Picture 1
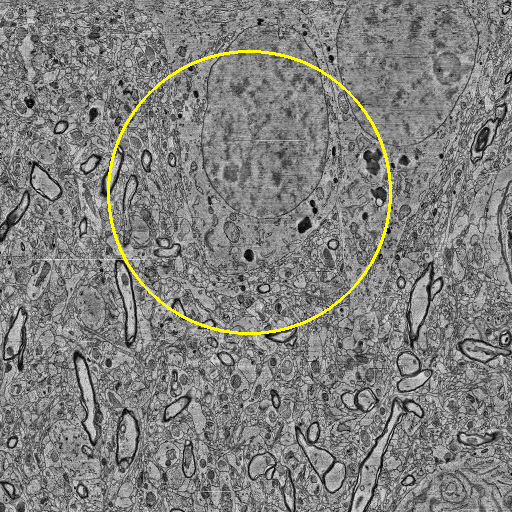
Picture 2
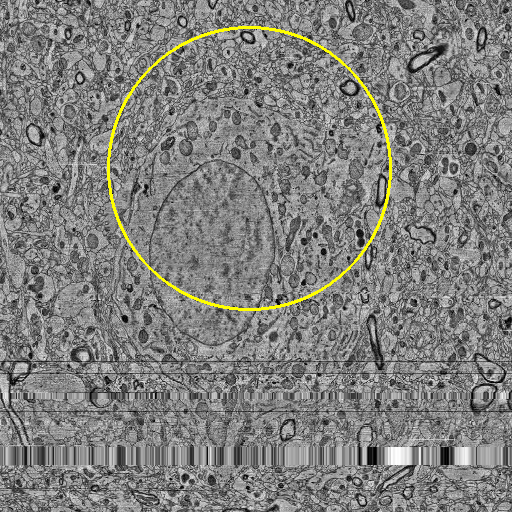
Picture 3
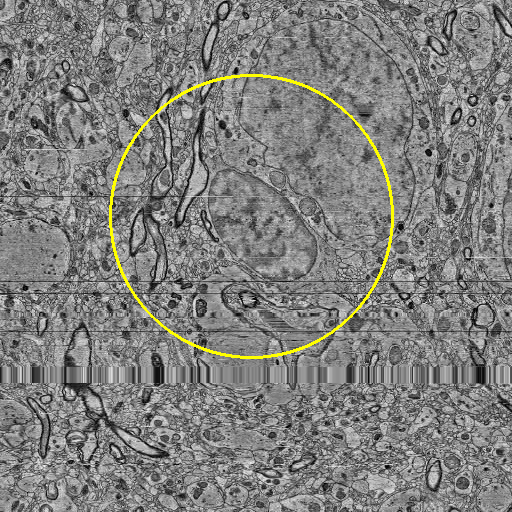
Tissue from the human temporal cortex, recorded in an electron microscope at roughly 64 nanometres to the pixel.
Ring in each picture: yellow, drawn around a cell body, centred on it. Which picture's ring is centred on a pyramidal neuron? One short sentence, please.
Picture 1 is the one.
